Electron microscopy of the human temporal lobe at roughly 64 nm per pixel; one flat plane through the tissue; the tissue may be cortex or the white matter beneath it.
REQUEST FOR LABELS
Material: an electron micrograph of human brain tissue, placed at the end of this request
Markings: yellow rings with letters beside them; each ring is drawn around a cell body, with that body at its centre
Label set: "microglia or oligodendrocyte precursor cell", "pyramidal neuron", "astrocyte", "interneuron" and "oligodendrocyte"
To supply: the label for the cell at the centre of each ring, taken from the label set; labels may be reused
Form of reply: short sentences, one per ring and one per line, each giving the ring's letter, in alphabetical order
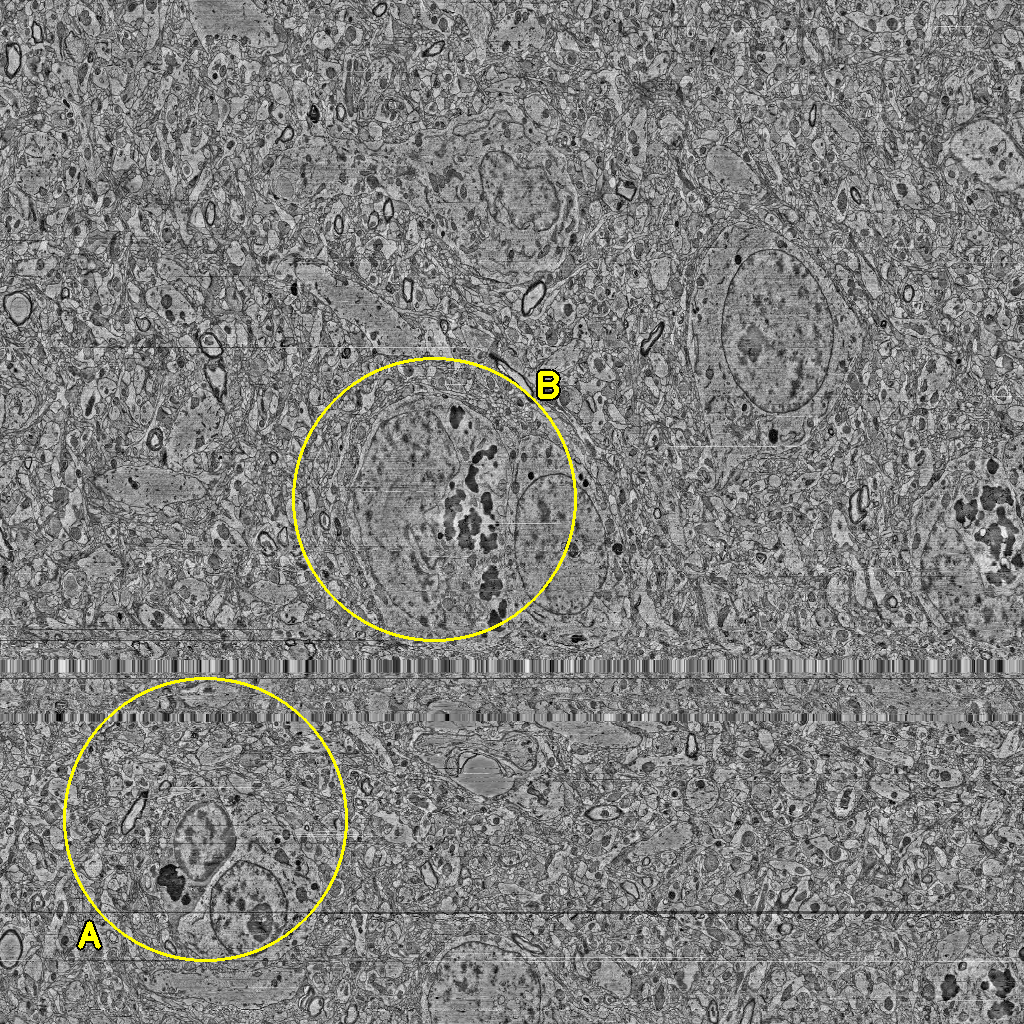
Ring A: the cell in the middle is an oligodendrocyte.
Ring B: the cell in the middle is an interneuron.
